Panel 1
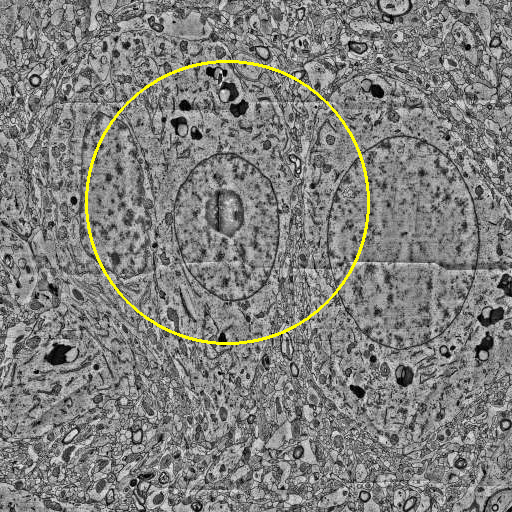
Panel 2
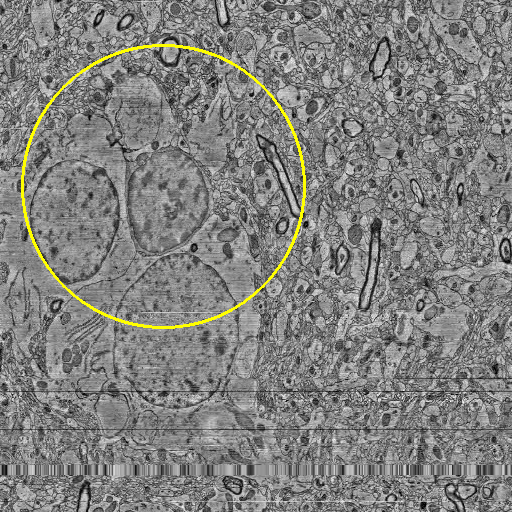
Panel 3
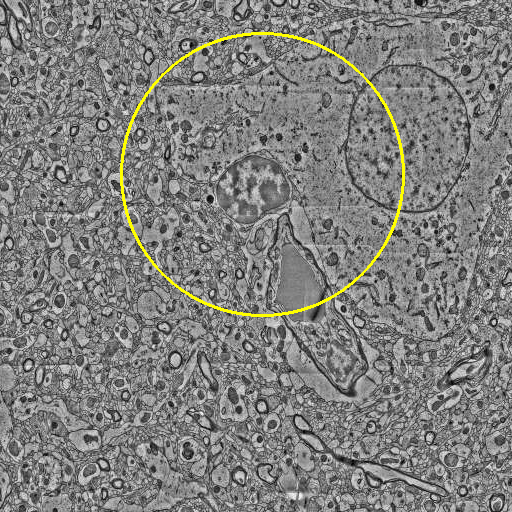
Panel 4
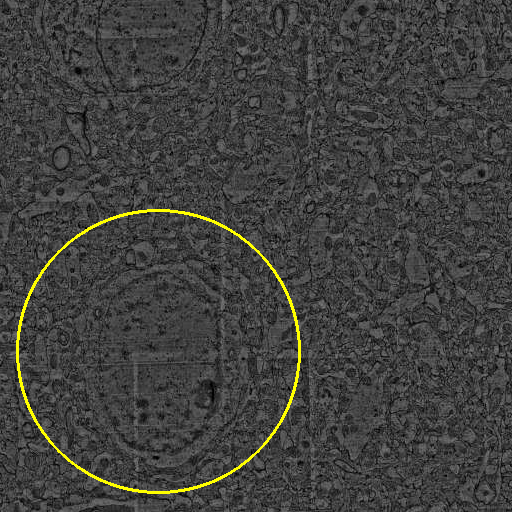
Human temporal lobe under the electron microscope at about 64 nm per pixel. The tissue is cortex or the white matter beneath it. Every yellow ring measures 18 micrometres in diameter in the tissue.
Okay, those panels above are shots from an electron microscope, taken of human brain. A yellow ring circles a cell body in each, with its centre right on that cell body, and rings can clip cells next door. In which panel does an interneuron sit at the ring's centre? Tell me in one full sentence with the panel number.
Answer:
The cell you asked for sits at the ring's centre in panel 4.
